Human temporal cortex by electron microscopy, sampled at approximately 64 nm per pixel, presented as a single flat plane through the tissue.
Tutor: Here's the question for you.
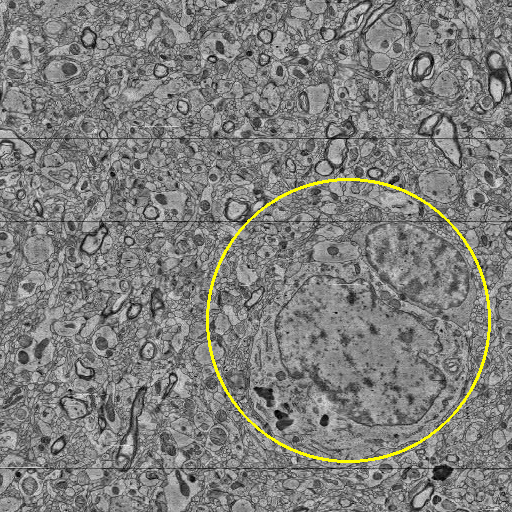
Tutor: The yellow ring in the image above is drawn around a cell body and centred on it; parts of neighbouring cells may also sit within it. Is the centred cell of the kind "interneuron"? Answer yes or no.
yes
